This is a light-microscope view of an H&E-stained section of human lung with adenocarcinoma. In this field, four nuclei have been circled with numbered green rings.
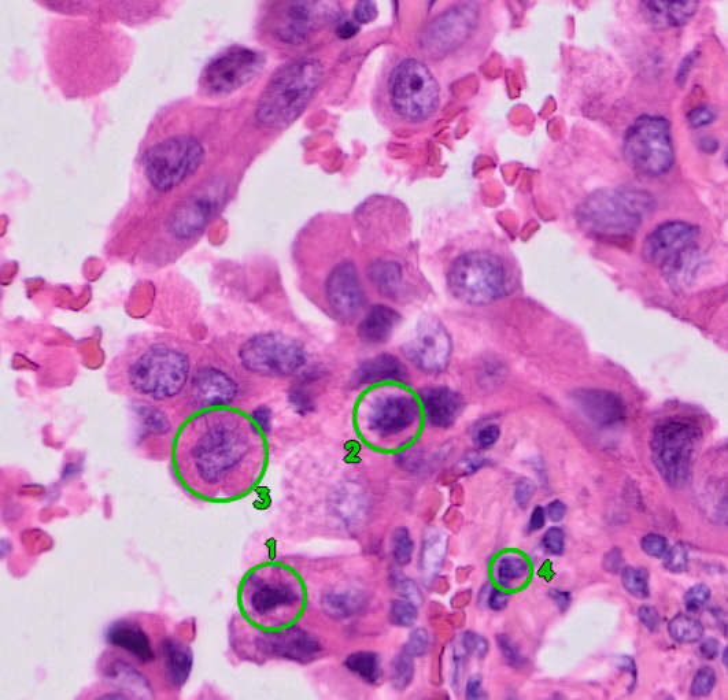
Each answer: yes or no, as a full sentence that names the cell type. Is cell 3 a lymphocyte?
No, cell 3 is classified as a carcinoma cell rather than a lymphocyte.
